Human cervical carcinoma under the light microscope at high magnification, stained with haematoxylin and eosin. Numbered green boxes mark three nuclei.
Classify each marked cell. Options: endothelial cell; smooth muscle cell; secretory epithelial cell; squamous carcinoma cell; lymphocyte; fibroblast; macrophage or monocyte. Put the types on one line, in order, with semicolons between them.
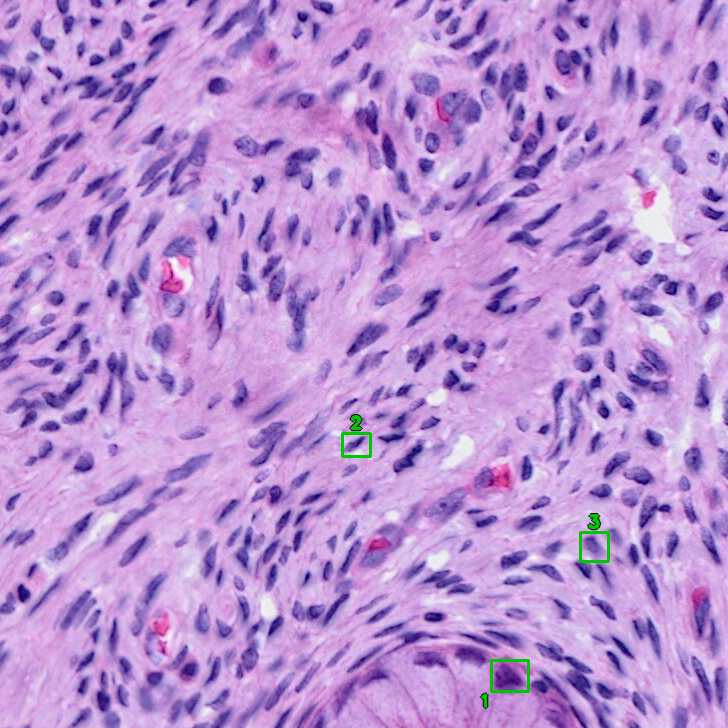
secretory epithelial cell; fibroblast; fibroblast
